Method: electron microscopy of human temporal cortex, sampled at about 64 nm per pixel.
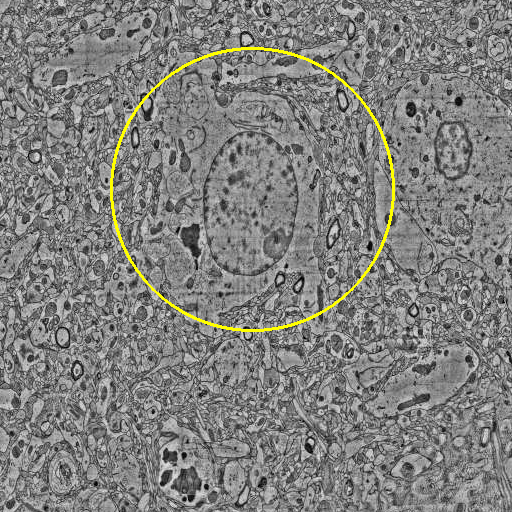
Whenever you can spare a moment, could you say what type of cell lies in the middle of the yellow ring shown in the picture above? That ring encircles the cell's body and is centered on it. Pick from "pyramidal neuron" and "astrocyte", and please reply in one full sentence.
The cell whose body sits at the middle of the yellow ring is an astrocyte.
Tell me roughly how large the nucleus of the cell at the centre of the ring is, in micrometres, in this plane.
In this plane, about 9 by 6 micrometres: the nucleus is clearly longer than it is wide.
